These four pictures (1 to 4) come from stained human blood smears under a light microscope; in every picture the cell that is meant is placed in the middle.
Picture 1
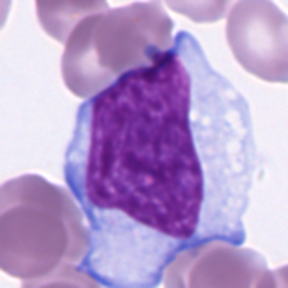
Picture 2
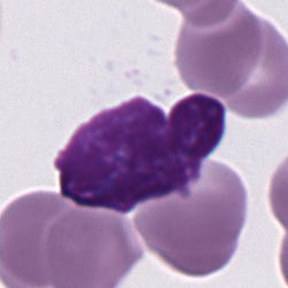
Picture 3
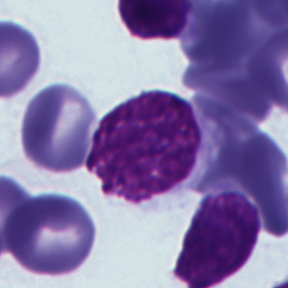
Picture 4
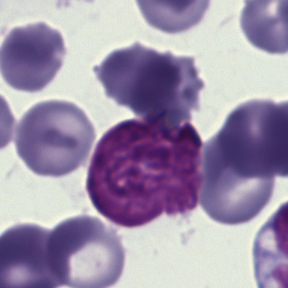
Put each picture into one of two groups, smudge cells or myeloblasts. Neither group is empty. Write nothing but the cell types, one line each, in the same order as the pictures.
myeloblast
smudge cell
myeloblast
smudge cell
